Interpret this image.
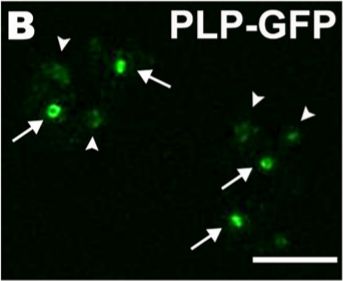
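Several small, very bright green dots lie scattered in the field, some resolved as tiny hollow rings. Around and near them are fainter, patchy green clouds rather than uniform staining.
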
